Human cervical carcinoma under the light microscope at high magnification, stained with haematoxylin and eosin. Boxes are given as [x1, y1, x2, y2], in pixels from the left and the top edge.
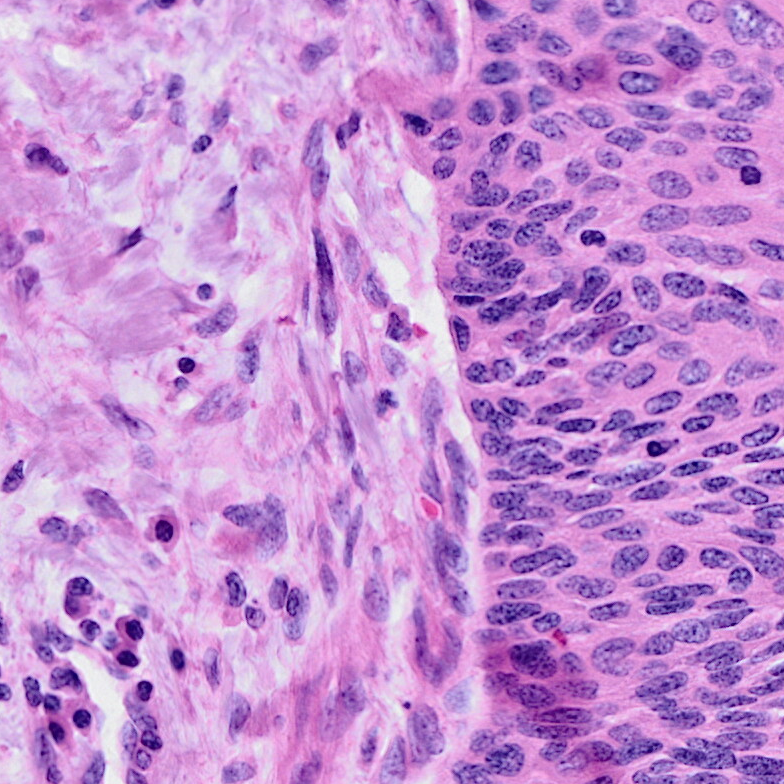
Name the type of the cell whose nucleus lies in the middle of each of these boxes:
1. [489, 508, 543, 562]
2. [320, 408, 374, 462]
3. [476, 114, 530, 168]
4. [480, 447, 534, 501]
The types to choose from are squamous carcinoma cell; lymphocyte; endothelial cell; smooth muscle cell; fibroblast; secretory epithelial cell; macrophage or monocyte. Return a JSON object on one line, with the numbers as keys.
{"1": "squamous carcinoma cell", "2": "fibroblast", "3": "squamous carcinoma cell", "4": "squamous carcinoma cell"}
